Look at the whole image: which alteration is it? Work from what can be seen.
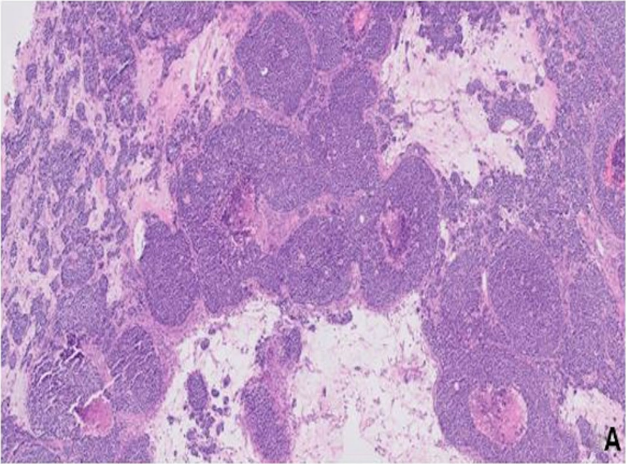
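Central comedonecrosis. Several rounded tumour nests have pink, cell-poor centres. The pink central areas are surrounded by densely packed blue cells.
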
